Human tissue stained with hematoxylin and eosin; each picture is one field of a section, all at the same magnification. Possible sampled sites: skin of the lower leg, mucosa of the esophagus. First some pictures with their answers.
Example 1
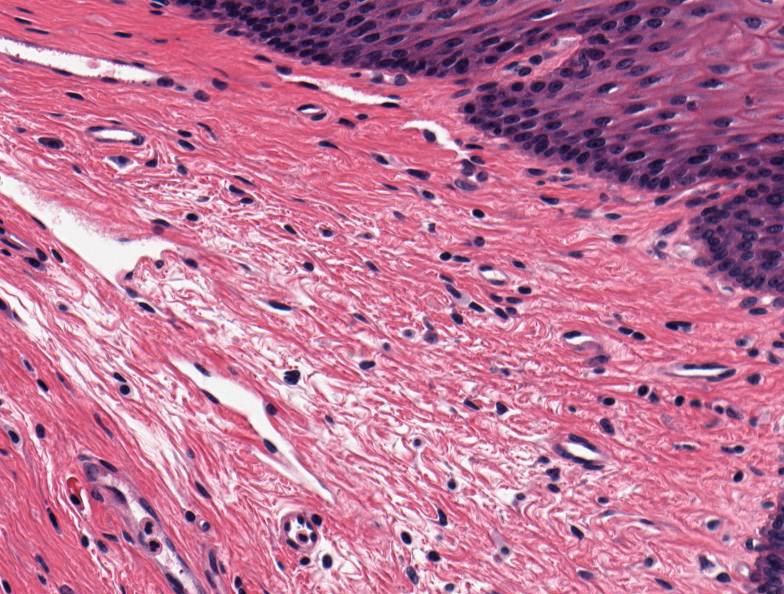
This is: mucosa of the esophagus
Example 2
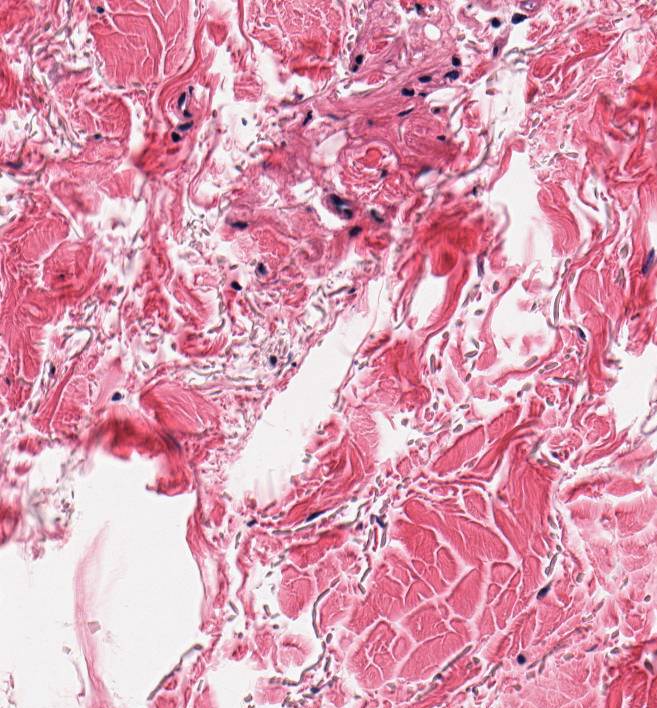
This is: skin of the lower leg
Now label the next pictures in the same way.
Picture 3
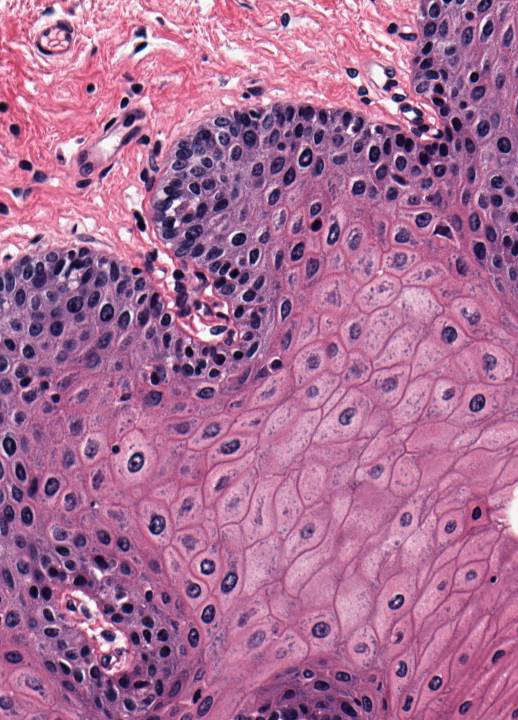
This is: mucosa of the esophagus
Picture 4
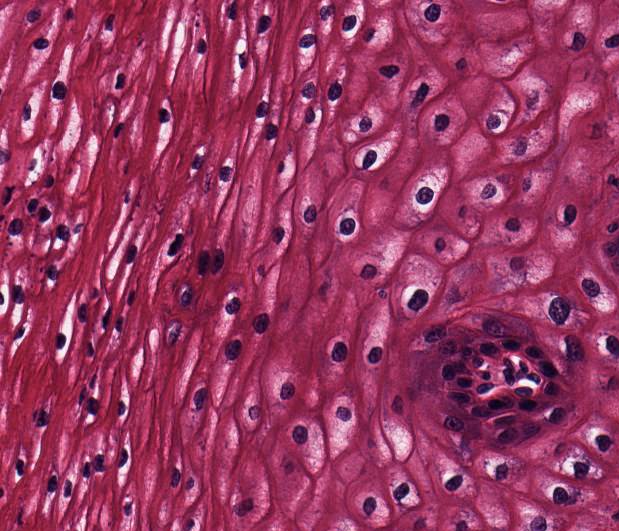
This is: mucosa of the esophagus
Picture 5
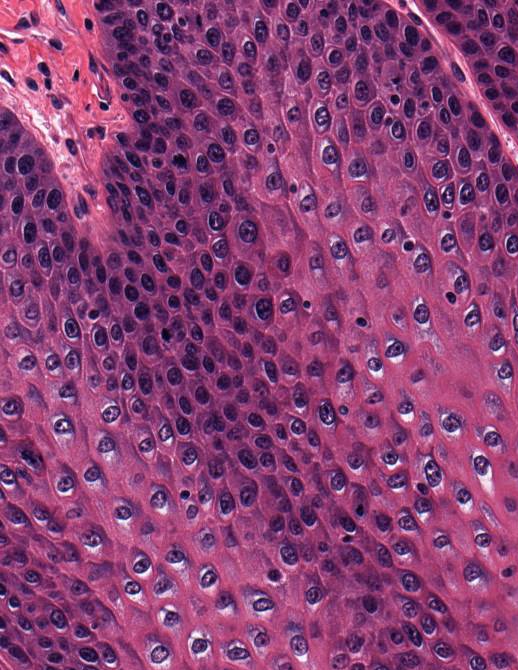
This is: mucosa of the esophagus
